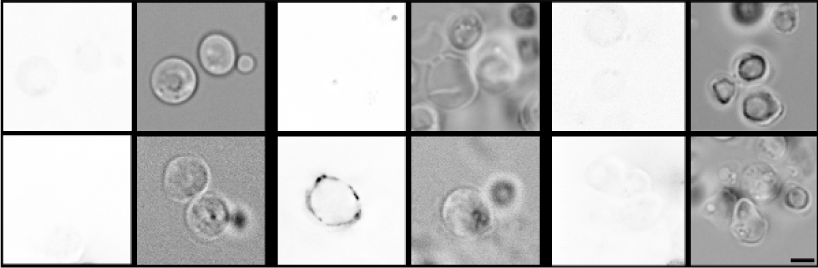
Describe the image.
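These are small round to oval yeast cells, seen in grey relief in the differential interference contrast frames, some with a bud. In the inverted fluorescence frames most cells are barely visible against the white background. In one frame a cell is ringed by a dark, patchy outline along its surface.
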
